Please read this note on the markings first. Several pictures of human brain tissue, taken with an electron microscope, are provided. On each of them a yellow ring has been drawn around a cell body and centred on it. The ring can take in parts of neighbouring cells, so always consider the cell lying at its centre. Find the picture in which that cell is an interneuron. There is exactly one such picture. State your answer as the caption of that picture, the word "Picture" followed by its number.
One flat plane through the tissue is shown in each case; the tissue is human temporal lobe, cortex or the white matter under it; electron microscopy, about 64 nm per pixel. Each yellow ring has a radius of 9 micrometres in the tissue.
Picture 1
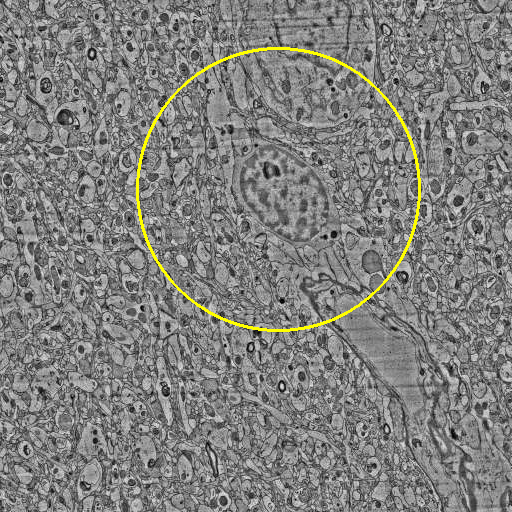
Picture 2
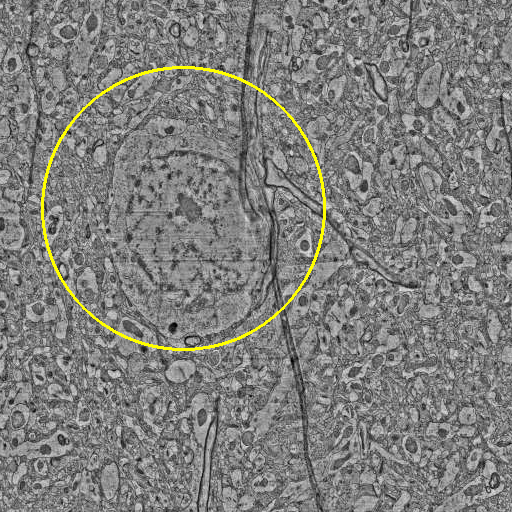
Picture 2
